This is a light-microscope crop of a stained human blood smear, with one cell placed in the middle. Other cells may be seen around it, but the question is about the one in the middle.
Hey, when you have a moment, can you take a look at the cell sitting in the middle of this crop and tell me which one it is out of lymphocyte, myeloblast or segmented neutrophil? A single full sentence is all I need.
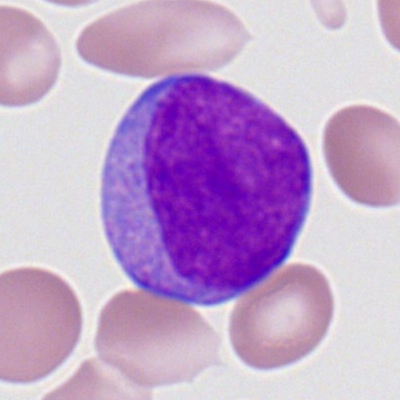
What the crop centres on is a myeloblast.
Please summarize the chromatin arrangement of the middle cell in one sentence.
There is no coarse clumping; the chromatin stays fine throughout.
